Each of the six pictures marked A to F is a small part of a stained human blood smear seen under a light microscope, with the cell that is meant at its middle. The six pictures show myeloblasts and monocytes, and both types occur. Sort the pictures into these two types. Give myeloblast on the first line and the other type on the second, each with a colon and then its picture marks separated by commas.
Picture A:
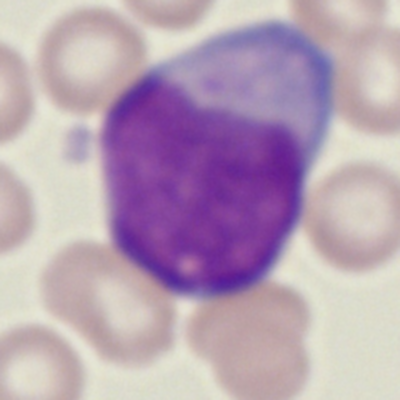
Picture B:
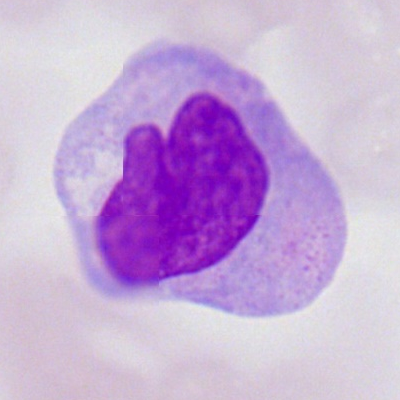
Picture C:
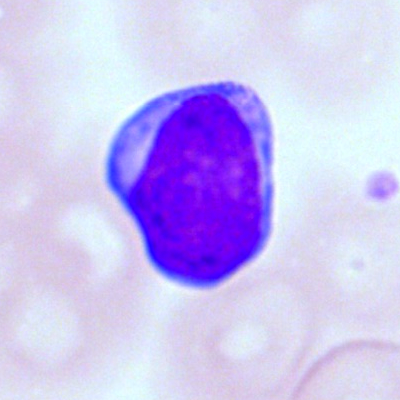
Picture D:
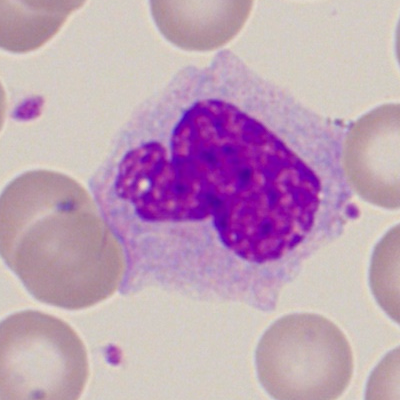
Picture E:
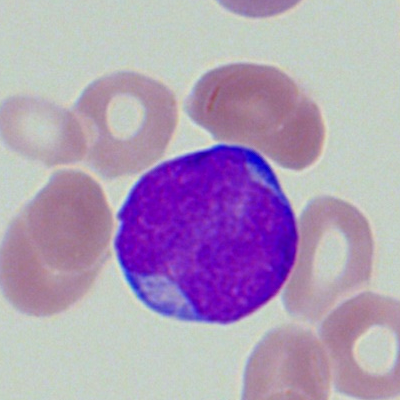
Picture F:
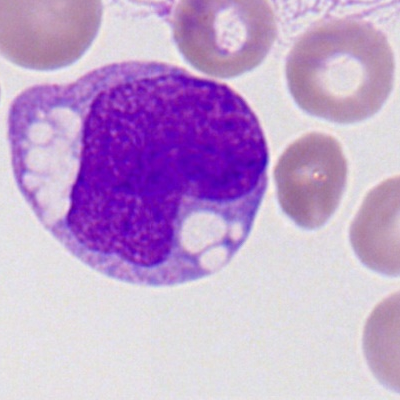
myeloblast: A, C, E
monocyte: B, D, F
